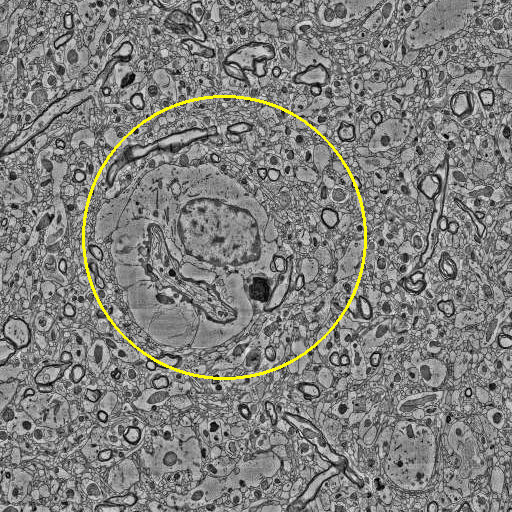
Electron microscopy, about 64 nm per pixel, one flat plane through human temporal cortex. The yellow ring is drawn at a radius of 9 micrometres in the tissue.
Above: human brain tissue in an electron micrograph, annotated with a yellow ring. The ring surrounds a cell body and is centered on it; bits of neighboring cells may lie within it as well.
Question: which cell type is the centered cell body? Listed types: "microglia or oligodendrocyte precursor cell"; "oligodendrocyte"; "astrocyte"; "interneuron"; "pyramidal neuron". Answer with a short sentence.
The centered cell body is a microglial cell or oligodendrocyte precursor cell.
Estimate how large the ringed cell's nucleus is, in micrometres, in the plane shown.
About 6 by 4 micrometers, in this plane.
